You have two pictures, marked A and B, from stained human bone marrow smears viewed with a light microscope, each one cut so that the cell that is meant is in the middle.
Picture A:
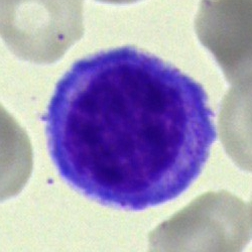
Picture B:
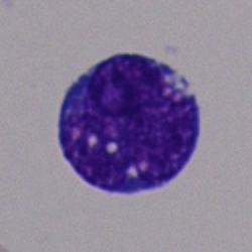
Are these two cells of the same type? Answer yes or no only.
no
